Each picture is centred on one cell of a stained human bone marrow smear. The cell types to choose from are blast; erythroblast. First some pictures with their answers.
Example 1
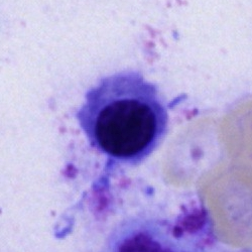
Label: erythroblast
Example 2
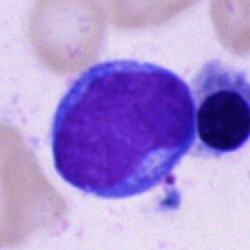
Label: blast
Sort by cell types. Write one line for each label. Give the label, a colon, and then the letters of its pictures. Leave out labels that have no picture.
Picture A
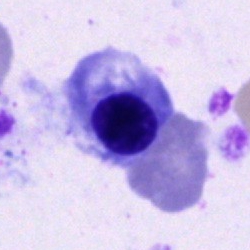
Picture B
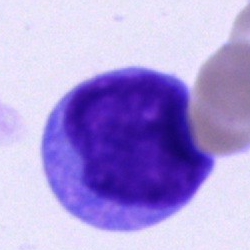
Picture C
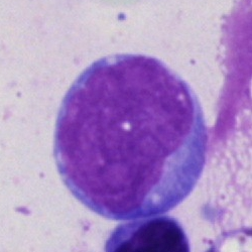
blast: B, C
erythroblast: A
